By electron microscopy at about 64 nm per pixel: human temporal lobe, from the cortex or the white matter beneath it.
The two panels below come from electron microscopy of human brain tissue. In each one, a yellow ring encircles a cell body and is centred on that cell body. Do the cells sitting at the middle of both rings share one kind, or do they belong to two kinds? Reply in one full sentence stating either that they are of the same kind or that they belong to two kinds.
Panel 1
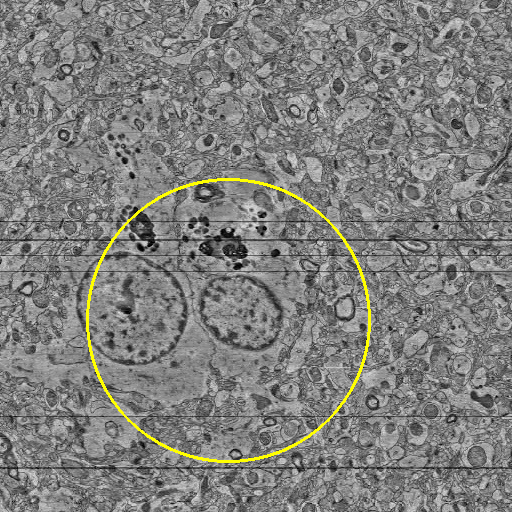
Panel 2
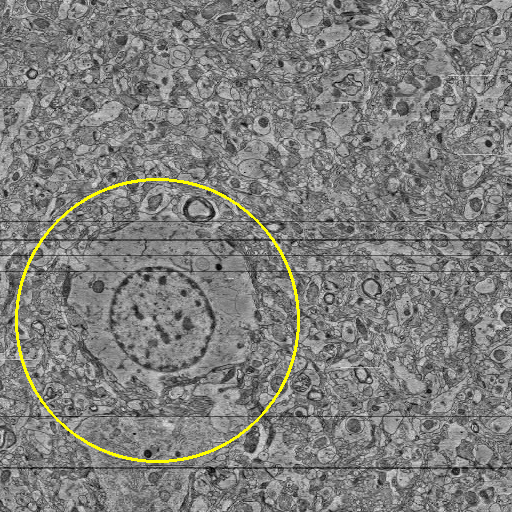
The cells at the centres of the two rings are of the same kind.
